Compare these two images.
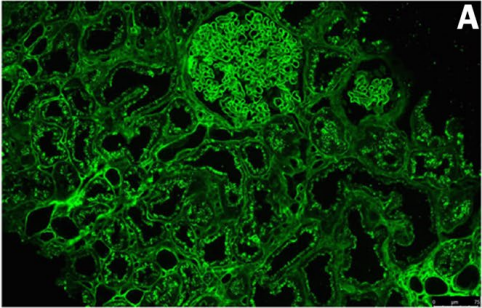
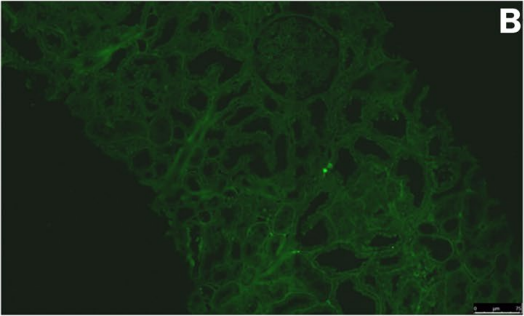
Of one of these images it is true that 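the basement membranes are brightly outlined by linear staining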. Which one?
The first image.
